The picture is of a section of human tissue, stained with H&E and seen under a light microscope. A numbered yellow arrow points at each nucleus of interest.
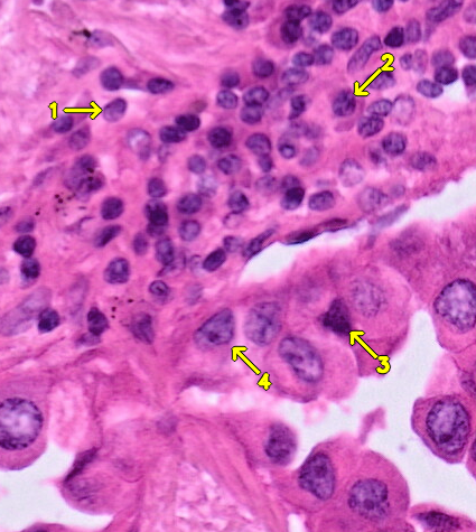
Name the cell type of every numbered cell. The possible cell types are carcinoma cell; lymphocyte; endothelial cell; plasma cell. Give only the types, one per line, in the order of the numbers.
lymphocyte
plasma cell
carcinoma cell
carcinoma cell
